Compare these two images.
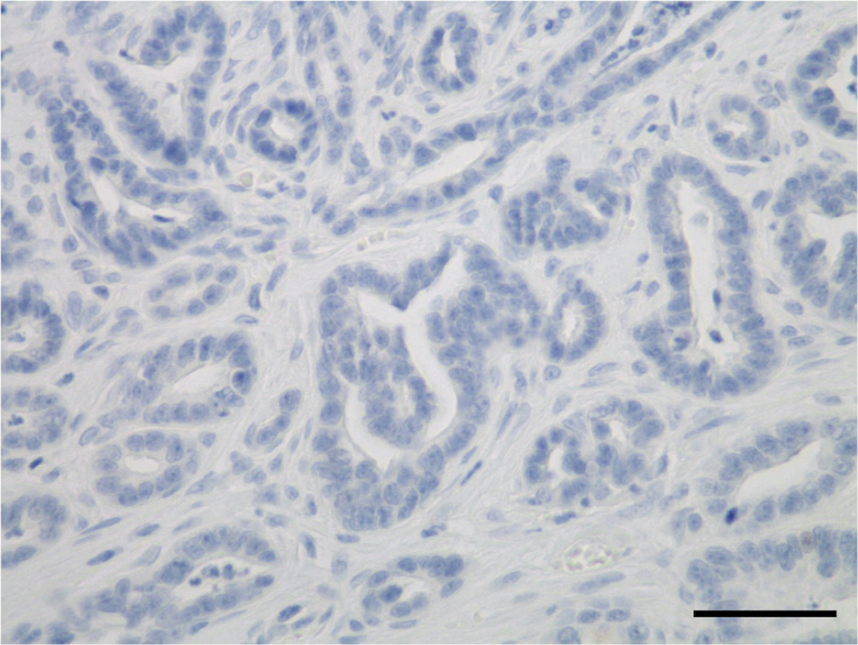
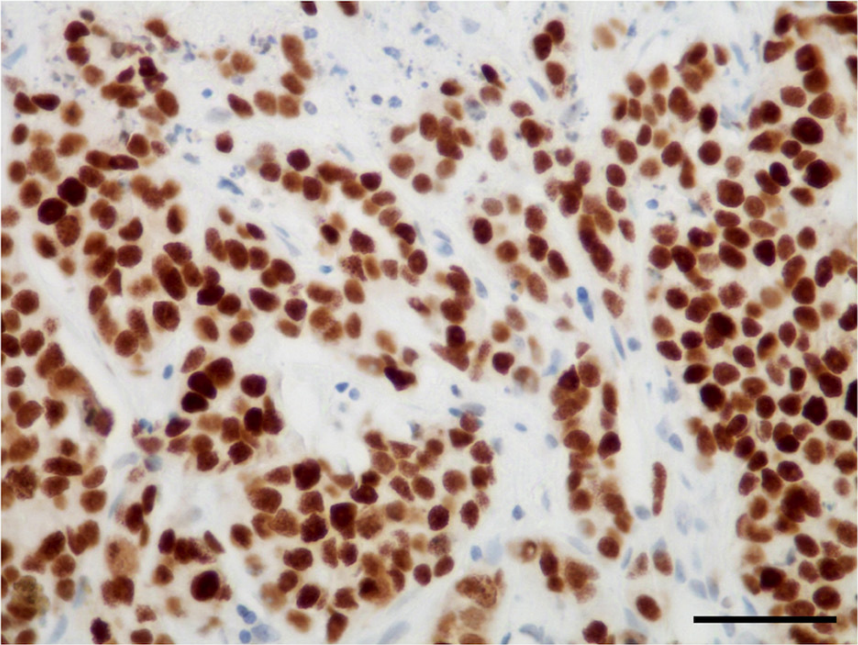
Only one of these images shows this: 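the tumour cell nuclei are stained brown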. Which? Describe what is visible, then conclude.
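The second image. Second image: nearly all tumour cell nuclei are brown to dark brown. First image: all nuclei are pale blue, with no brown anywhere.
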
